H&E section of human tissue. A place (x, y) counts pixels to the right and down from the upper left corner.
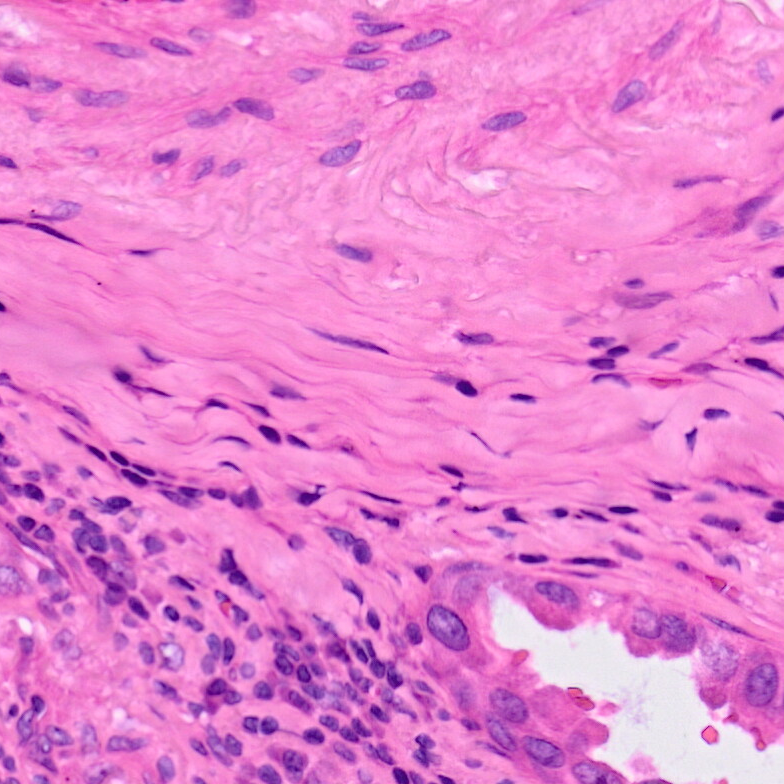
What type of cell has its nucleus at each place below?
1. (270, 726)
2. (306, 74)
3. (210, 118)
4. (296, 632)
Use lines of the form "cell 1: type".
cell 1: lymphocyte
cell 2: smooth muscle cell or pericyte
cell 3: smooth muscle cell or pericyte
cell 4: plasma cell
